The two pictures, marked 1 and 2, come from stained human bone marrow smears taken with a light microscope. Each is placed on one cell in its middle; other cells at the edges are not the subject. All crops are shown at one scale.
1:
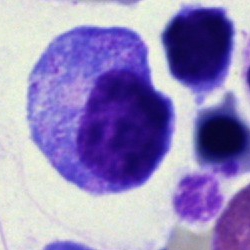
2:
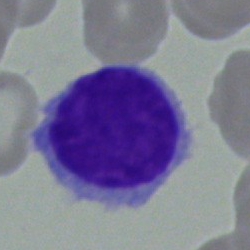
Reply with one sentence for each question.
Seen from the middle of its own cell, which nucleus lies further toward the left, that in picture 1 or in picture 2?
In picture 2 the nucleus is shifted more toward the left.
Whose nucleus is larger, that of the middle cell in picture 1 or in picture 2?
Picture 2 shows the larger nucleus; it covers about 1.5 times the area of the nucleus in picture 1.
